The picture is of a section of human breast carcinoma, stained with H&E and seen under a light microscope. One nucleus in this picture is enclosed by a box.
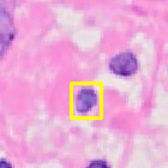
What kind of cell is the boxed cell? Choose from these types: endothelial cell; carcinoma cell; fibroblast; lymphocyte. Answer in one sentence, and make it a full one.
On this particular slide, the boxed cell is a lymphocyte.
